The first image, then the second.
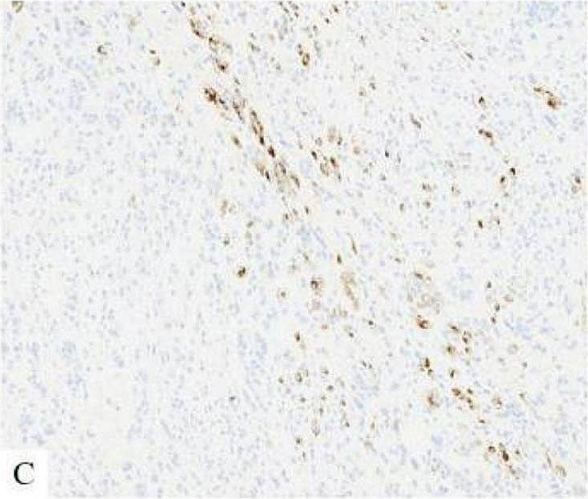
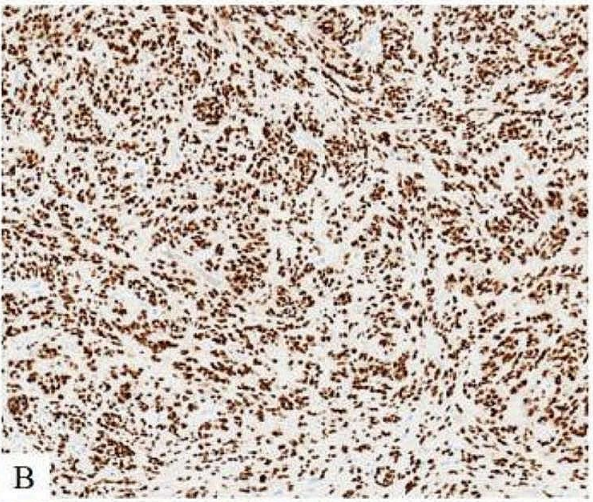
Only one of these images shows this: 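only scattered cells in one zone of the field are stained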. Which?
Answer: The first image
